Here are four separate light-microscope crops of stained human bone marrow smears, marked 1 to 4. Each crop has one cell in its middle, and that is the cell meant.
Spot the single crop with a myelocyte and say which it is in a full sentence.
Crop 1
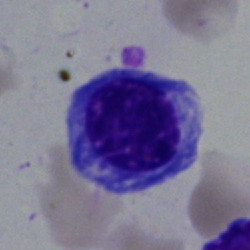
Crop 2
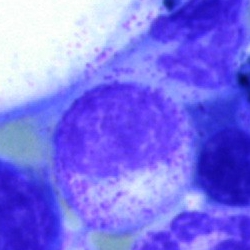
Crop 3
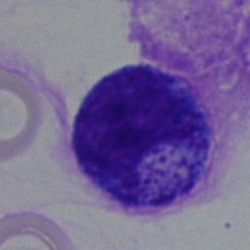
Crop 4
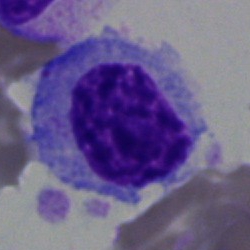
Crop 2 is the right one; it is the crop showing a myelocyte.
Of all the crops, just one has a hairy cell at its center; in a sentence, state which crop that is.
The crop carrying a hairy cell at the center is crop 4.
